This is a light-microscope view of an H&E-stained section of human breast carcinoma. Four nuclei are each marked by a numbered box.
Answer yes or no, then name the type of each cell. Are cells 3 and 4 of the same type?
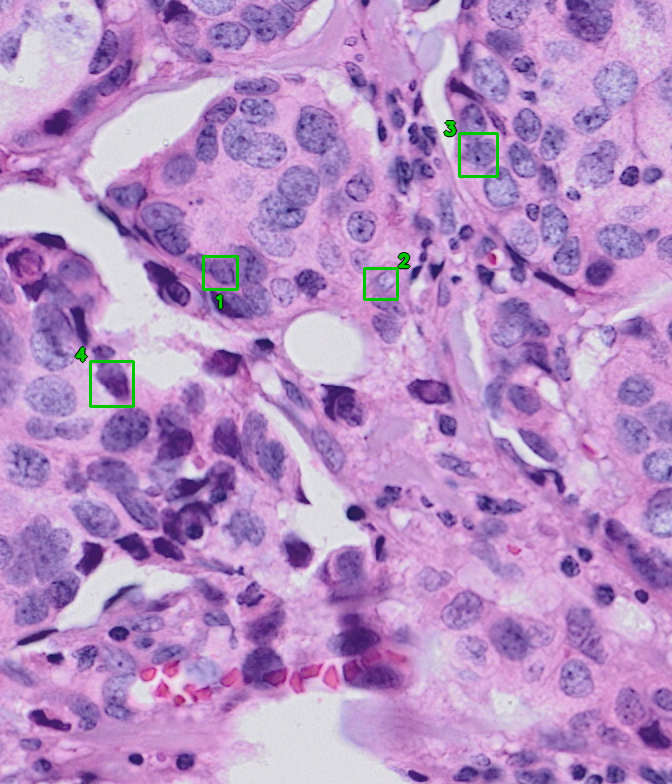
Yes, both of the cells numbered 3 and 4 are carcinoma cells.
